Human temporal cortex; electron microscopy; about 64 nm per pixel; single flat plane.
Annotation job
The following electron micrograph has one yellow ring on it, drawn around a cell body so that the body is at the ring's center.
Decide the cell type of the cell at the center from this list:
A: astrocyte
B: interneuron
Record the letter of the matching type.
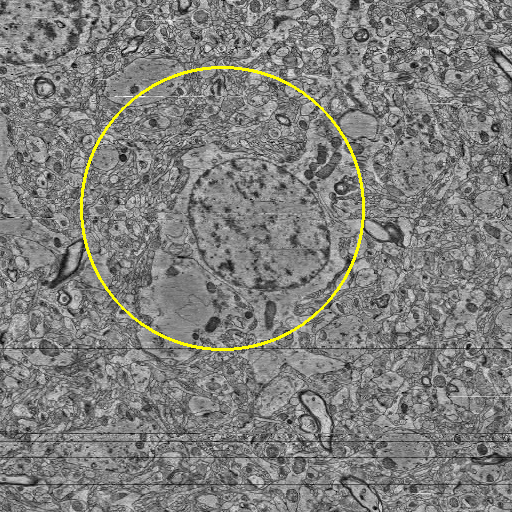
A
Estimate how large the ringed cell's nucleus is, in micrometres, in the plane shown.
The nucleus works out at approximately 10 by 8 micrometres in this plane.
